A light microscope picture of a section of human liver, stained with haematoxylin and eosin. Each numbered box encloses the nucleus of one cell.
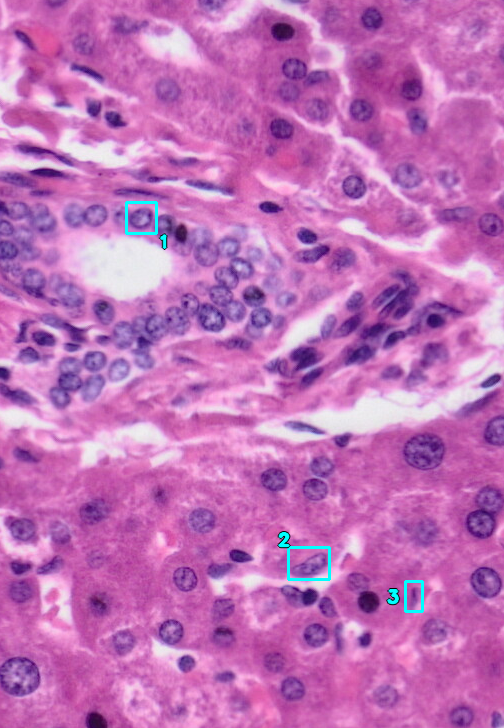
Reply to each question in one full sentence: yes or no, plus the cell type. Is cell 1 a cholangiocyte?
Yes, the cell labelled with number 1 is a cholangiocyte.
